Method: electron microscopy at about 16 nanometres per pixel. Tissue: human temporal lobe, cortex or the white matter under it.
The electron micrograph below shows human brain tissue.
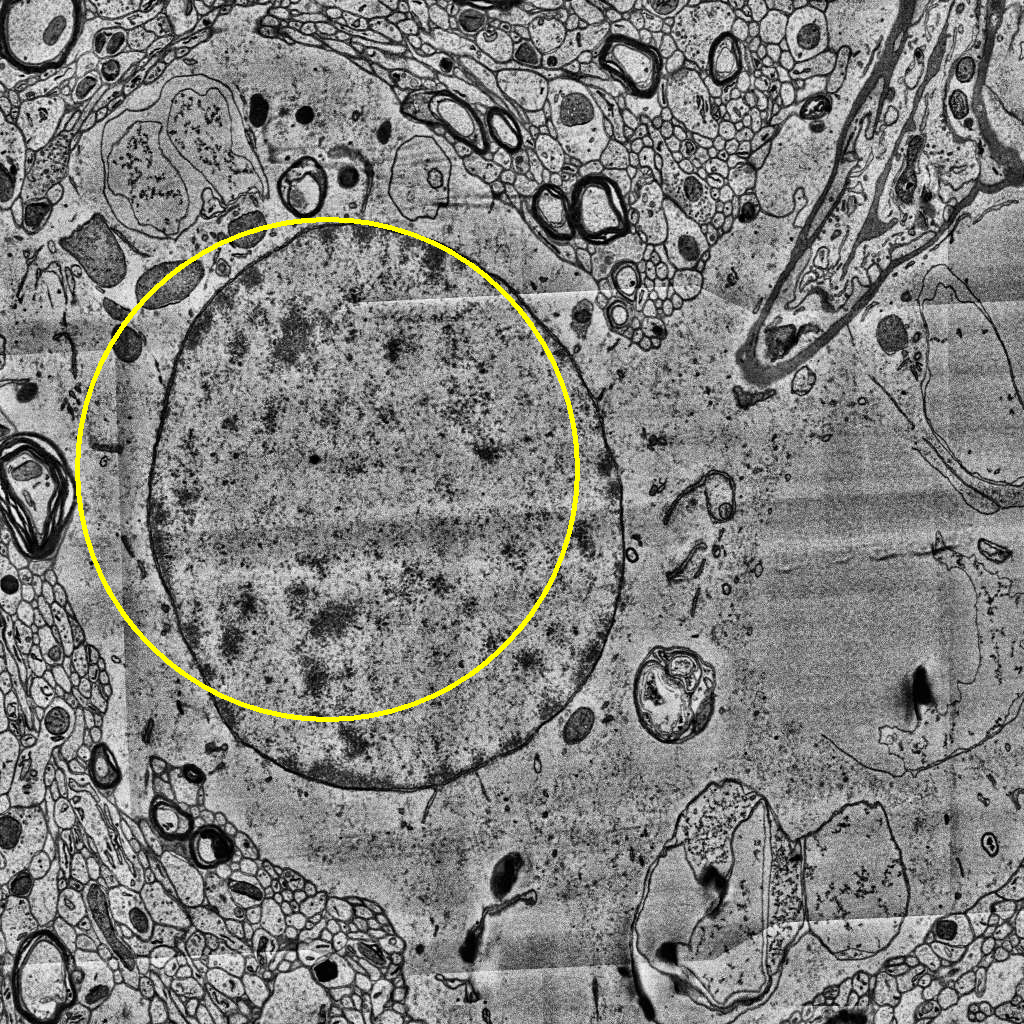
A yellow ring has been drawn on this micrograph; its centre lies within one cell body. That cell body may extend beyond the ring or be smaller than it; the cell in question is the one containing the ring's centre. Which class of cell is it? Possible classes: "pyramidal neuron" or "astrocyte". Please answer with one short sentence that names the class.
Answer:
In the centre of the ring sits an astrocyte.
